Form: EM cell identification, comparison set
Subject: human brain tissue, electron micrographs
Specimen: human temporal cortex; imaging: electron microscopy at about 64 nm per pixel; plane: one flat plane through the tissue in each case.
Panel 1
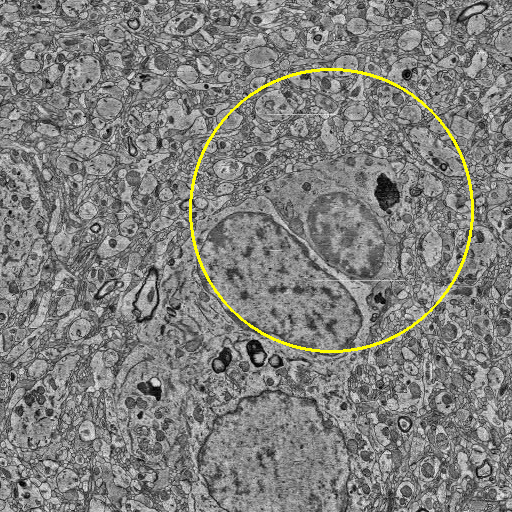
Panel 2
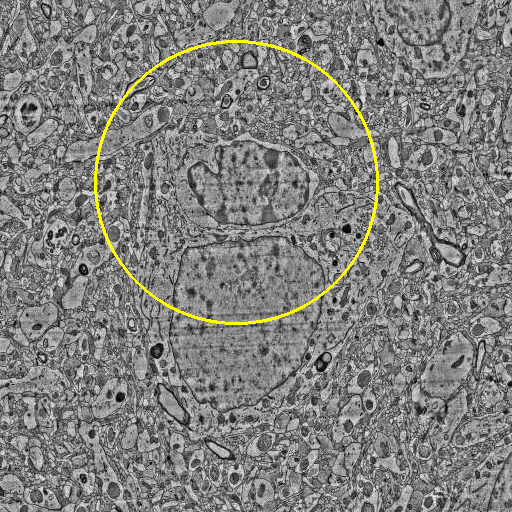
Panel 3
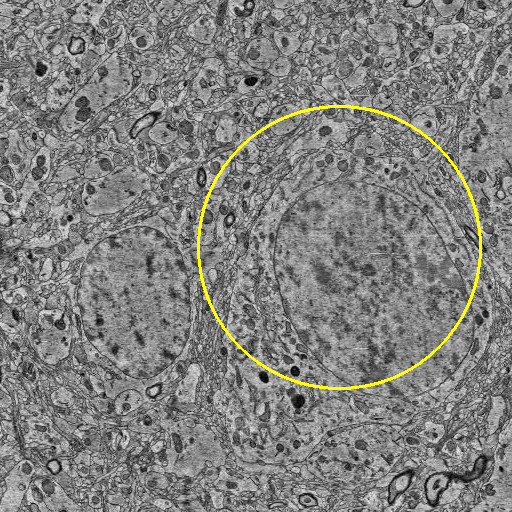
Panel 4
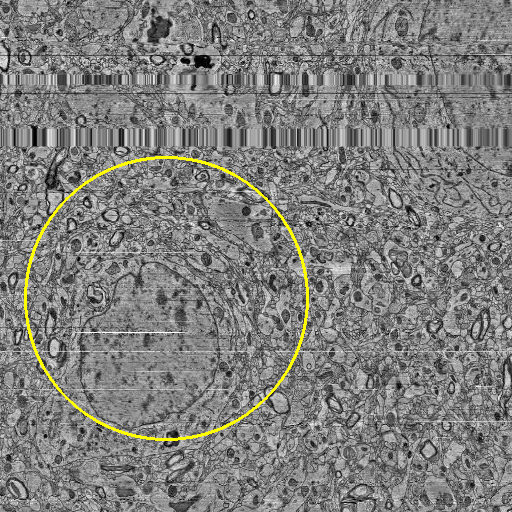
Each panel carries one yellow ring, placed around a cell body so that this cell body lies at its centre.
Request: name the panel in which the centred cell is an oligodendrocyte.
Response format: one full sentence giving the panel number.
Panel 1 has it at the centre of its ring.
